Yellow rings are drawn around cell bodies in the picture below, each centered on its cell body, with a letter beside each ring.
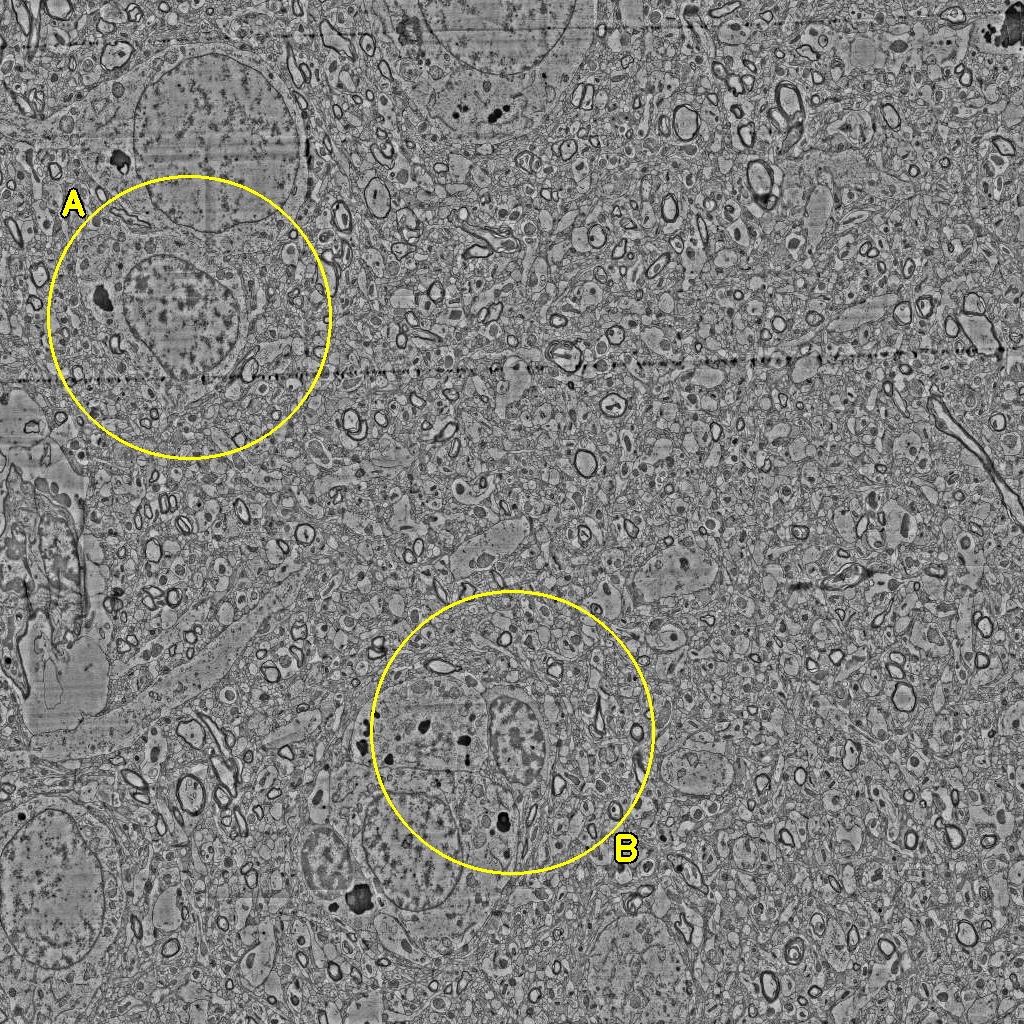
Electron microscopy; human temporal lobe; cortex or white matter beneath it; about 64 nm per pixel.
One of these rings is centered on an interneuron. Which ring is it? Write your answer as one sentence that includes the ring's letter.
It is ring A.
